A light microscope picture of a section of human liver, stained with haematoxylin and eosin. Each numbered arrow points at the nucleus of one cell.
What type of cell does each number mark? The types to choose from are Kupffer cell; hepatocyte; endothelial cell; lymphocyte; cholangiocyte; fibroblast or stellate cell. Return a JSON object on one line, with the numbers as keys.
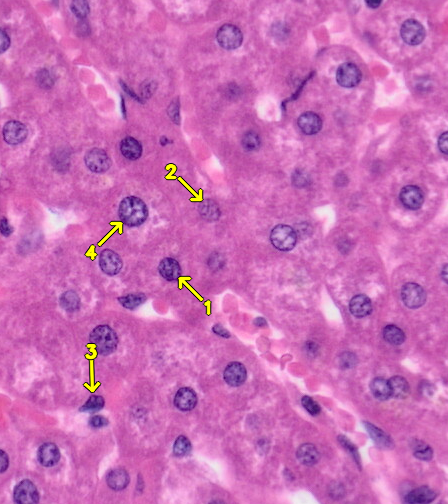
{"1": "hepatocyte", "2": "hepatocyte", "3": "endothelial cell", "4": "hepatocyte"}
